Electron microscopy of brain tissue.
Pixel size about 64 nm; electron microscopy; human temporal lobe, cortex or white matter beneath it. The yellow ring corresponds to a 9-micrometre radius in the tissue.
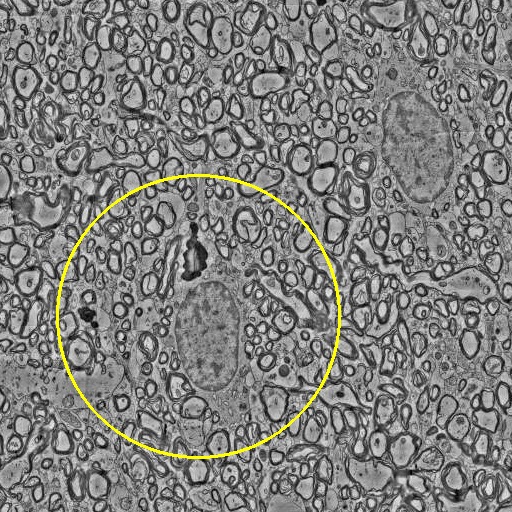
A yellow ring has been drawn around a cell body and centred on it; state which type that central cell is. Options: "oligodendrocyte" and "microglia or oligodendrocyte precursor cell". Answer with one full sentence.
The cell at the middle of the yellow ring is an oligodendrocyte in this picture.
